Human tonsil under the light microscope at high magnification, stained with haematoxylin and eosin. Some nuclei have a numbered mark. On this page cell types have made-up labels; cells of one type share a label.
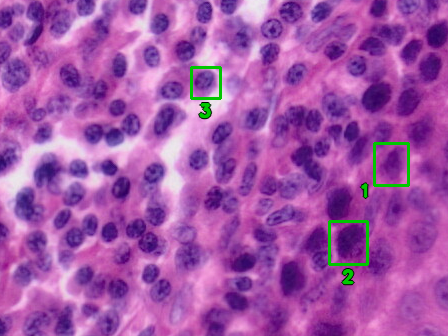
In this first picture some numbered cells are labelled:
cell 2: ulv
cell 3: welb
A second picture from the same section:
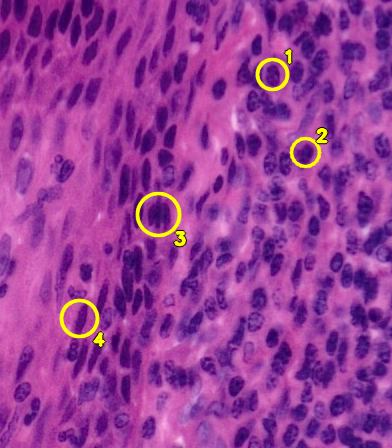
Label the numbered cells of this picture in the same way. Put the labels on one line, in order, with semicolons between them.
welb; welb; ulv; ulv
